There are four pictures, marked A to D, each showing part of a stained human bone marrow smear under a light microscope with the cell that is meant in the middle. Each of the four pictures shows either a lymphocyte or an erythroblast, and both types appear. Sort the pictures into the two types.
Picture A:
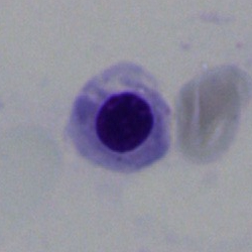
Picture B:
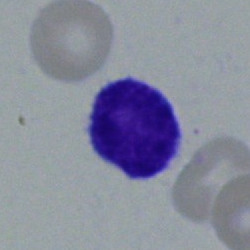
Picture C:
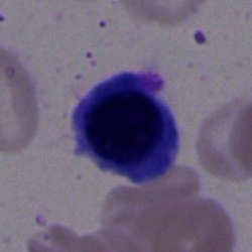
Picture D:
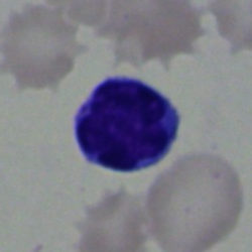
A: erythroblast
B: lymphocyte
C: erythroblast
D: lymphocyte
